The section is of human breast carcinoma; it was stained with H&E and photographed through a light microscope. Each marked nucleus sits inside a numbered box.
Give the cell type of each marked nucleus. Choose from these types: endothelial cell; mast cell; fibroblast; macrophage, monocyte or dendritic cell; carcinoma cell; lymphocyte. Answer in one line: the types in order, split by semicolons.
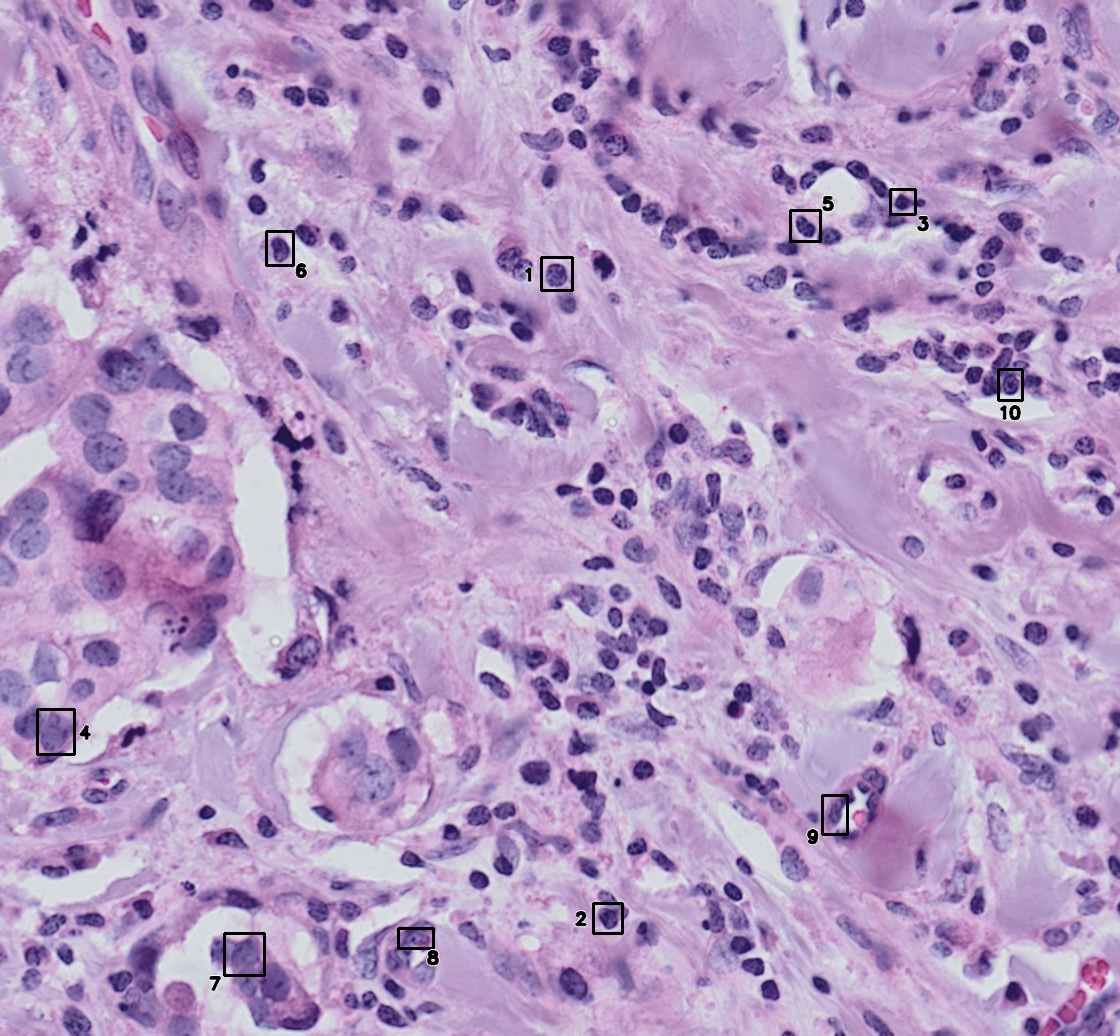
lymphocyte; lymphocyte; lymphocyte; carcinoma cell; lymphocyte; lymphocyte; carcinoma cell; endothelial cell; endothelial cell; lymphocyte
